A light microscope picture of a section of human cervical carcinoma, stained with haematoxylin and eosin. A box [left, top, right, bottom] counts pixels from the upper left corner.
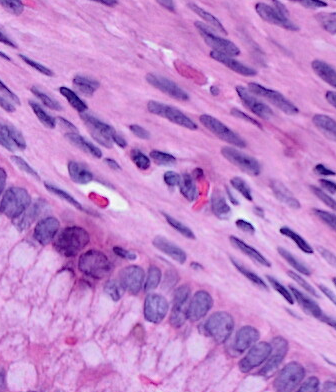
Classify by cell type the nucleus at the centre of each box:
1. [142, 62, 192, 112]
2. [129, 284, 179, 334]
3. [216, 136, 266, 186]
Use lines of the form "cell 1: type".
cell 1: fibroblast
cell 2: secretory epithelial cell
cell 3: fibroblast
